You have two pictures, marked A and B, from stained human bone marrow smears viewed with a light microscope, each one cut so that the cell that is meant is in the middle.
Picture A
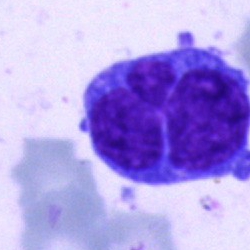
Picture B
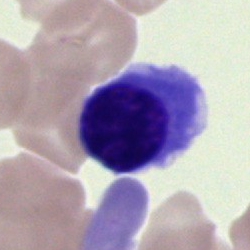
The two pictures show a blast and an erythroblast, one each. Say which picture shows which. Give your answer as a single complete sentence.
Picture A is of a blast, and picture B is of an erythroblast.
